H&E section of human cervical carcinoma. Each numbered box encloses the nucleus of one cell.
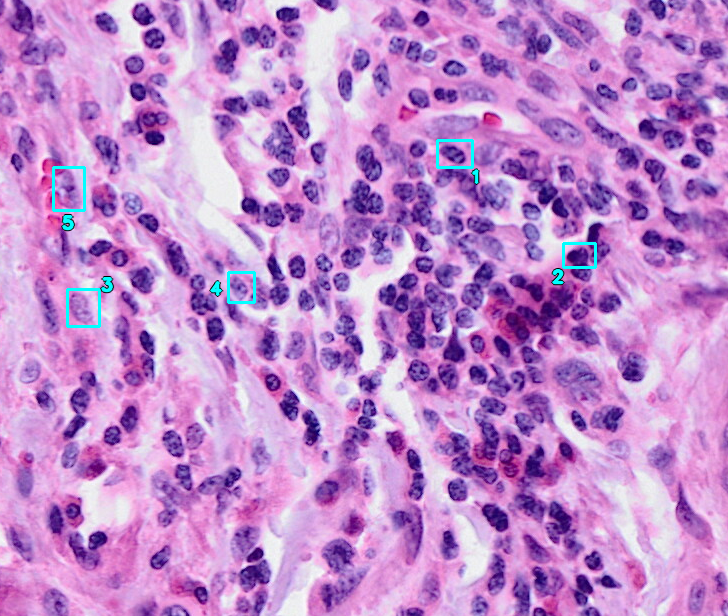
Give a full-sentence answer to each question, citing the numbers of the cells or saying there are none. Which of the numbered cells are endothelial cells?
The cells numbered 3 and 5 are of one kind: endothelial cells.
